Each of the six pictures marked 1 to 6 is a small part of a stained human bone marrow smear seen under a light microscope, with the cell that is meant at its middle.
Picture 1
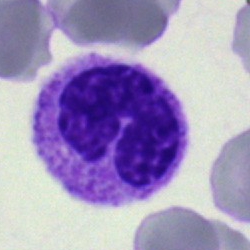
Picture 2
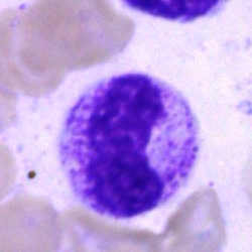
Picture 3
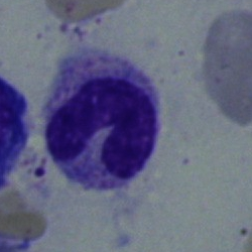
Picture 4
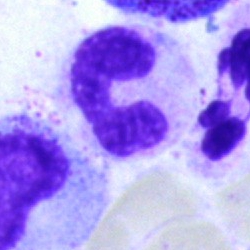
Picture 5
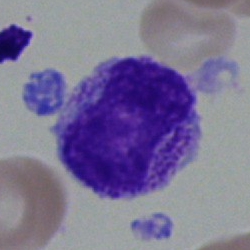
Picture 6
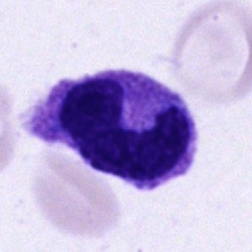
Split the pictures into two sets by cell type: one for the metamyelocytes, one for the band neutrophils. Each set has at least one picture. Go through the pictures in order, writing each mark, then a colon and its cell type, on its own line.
1: band neutrophil
2: metamyelocyte
3: band neutrophil
4: band neutrophil
5: metamyelocyte
6: band neutrophil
